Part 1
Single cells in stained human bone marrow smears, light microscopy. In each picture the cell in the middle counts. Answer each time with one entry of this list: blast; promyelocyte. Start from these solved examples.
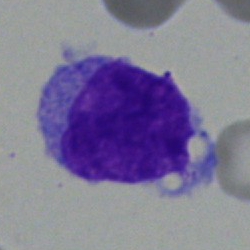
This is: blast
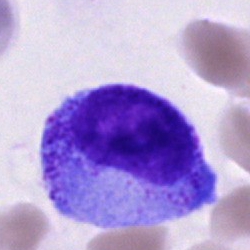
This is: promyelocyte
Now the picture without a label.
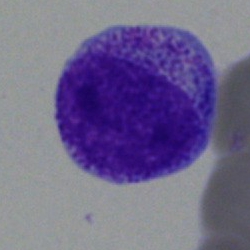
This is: promyelocyte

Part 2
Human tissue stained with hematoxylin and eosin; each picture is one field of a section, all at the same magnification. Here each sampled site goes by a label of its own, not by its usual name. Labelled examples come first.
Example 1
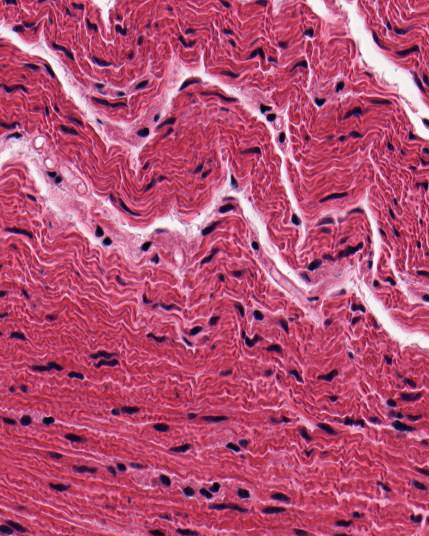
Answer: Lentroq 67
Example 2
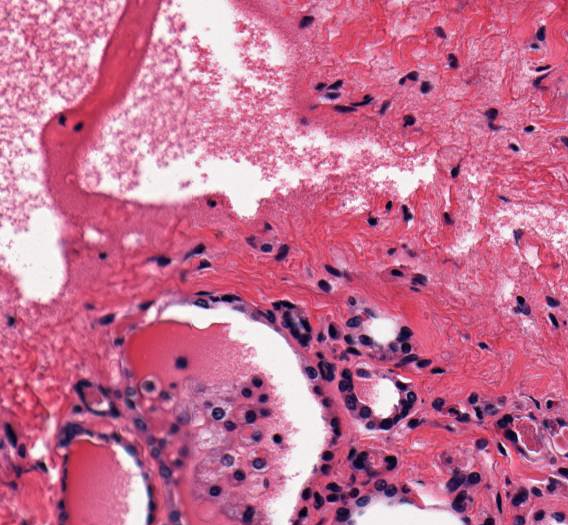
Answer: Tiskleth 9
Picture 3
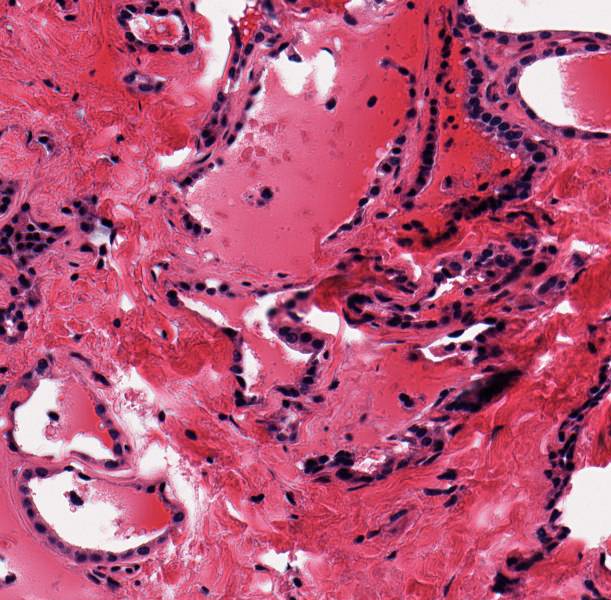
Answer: Tiskleth 9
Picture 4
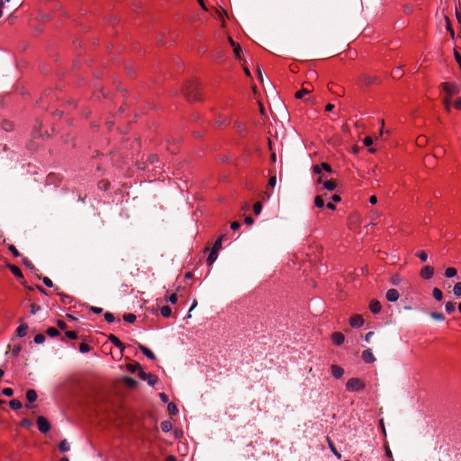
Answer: Tiskleth 9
